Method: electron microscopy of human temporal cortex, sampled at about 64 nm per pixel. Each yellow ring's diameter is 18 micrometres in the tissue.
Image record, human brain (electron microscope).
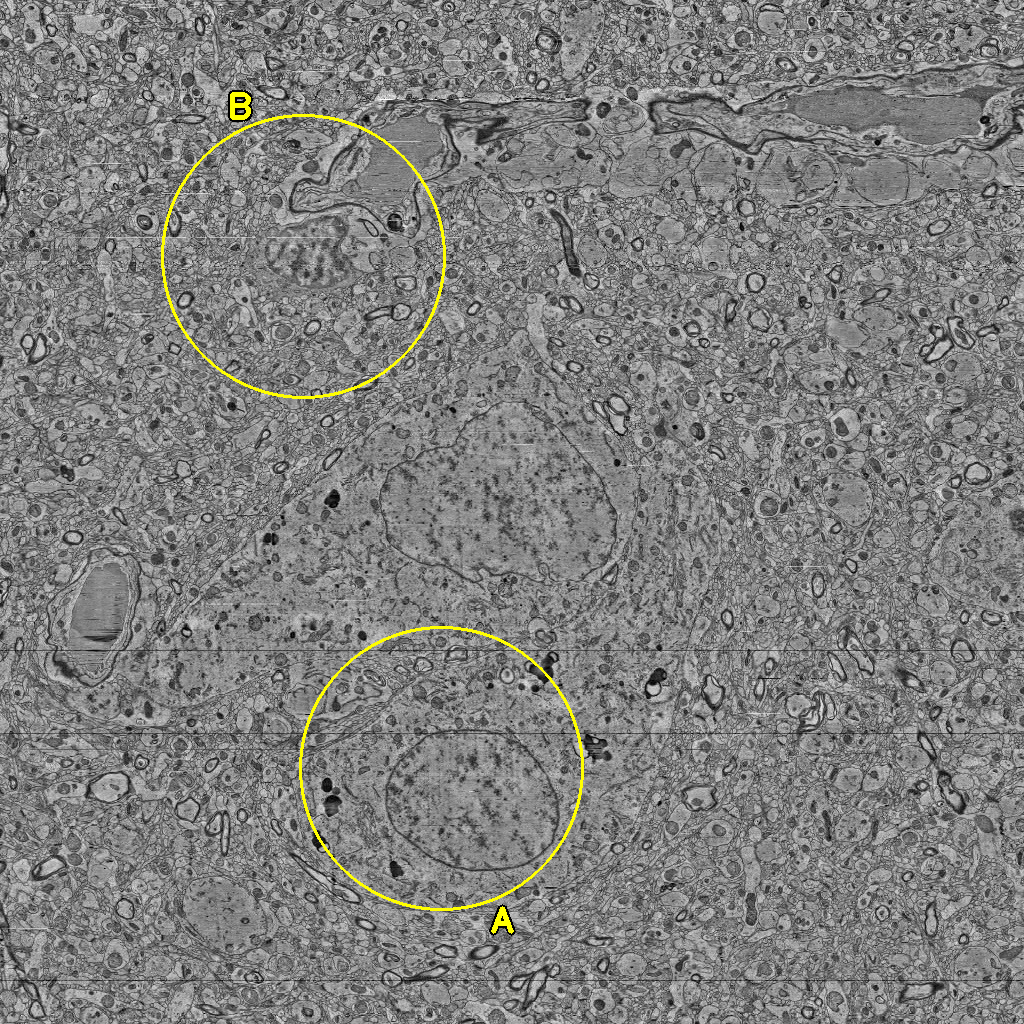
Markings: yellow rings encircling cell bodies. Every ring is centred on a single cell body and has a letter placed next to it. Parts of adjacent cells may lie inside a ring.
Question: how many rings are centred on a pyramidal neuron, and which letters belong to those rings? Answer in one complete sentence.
A single yellow ring is centred on a pyramidal neuron, and that ring has the letter A.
